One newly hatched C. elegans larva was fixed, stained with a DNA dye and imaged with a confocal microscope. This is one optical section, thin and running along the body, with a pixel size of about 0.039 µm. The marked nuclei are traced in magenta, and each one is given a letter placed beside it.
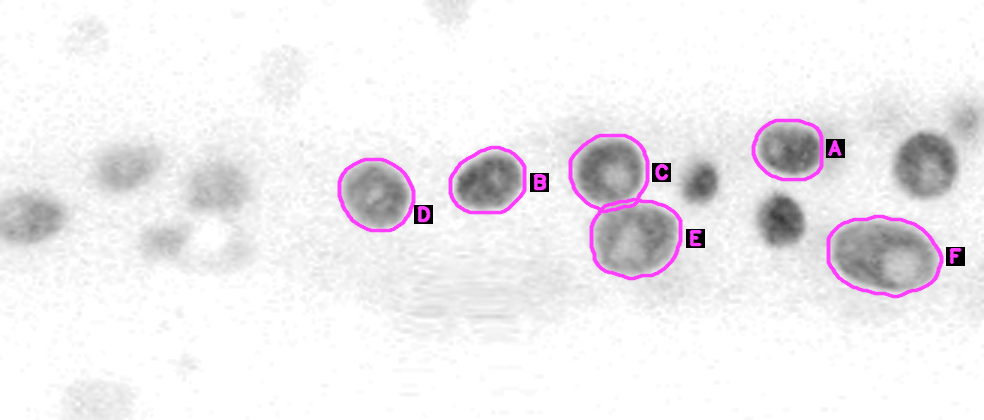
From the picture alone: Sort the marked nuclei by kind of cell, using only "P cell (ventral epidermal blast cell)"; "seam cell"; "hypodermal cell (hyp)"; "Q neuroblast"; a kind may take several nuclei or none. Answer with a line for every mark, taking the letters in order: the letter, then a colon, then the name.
A: P cell (ventral epidermal blast cell)
B: P cell (ventral epidermal blast cell)
C: seam cell
D: Q neuroblast
E: hypodermal cell (hyp)
F: hypodermal cell (hyp)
